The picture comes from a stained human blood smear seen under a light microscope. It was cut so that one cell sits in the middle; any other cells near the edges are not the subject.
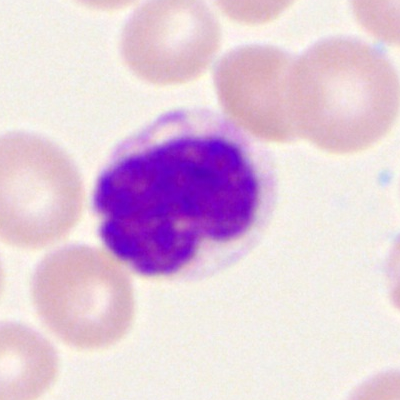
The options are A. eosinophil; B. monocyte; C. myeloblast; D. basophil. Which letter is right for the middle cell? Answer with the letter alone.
D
